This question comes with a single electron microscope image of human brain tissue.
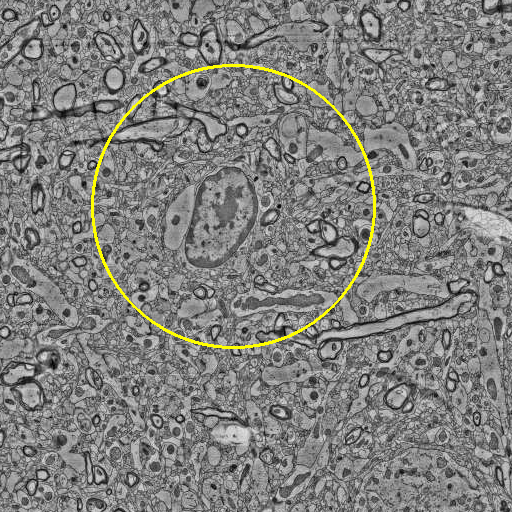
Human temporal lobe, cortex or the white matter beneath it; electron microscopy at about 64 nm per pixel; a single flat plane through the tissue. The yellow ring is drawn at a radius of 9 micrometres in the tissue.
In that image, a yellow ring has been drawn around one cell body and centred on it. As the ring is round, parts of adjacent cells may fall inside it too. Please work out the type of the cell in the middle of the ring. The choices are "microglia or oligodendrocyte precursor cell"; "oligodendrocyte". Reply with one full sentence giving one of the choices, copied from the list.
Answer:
Of the choices, a microglial cell or oligodendrocyte precursor cell is the cell sitting in the middle of the ring.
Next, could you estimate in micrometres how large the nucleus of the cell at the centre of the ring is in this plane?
In this plane, approximately 7 by 4 micrometers, and clearly longer than it is wide.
